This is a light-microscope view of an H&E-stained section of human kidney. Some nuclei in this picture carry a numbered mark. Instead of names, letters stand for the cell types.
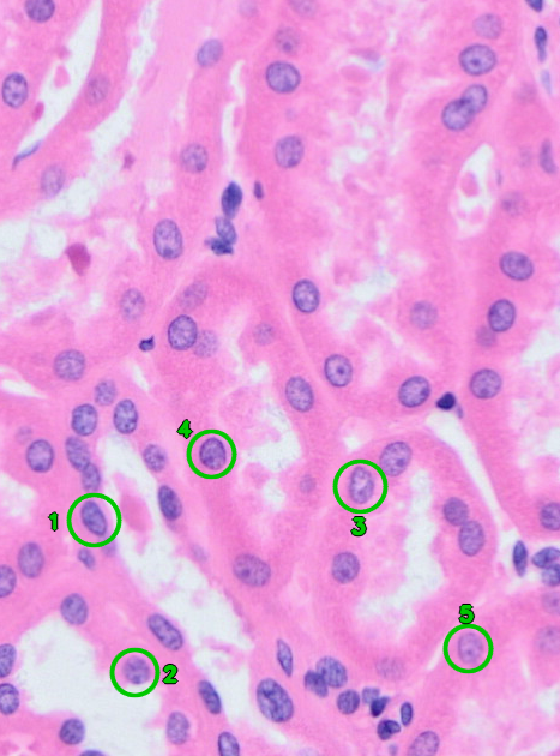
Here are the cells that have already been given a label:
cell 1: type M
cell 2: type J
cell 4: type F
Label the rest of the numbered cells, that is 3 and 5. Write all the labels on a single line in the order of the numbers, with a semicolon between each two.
type F; type F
